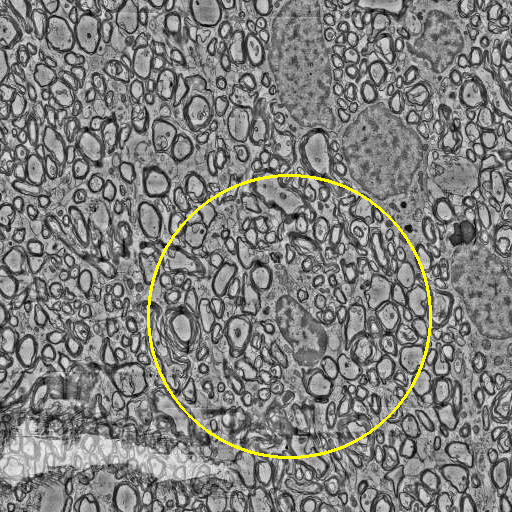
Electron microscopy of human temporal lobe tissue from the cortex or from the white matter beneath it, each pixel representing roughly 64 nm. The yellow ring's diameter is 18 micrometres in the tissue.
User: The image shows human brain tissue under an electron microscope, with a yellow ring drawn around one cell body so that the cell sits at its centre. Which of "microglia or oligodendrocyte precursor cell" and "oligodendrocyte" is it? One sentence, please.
At the centre of the ring sits a microglial cell or oligodendrocyte precursor cell.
